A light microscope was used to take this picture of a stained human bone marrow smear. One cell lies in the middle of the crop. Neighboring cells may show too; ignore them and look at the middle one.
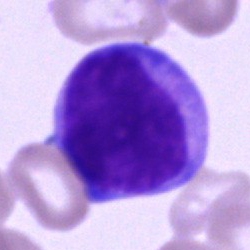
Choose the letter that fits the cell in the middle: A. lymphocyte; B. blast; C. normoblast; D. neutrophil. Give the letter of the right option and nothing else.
B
